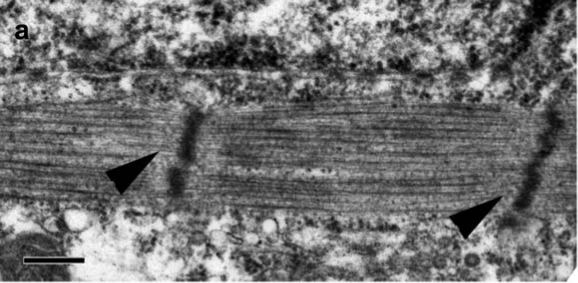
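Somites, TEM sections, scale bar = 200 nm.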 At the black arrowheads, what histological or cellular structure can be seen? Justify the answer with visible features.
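Z-discs. Dark, dense bands lie across the bundle of long parallel filaments. The bands run roughly perpendicular to the filaments. Two such bands are spaced apart along the bundle.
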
